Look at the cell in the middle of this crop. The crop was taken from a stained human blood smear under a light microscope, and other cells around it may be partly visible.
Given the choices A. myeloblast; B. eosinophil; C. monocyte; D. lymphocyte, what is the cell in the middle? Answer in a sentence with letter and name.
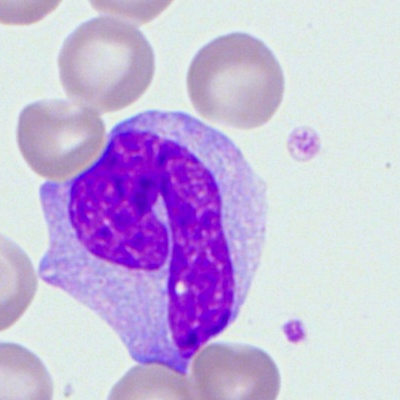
Option C is the right one, for the cell in the middle is a monocyte.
